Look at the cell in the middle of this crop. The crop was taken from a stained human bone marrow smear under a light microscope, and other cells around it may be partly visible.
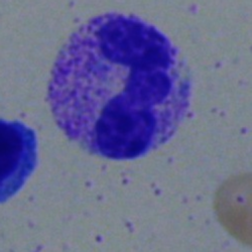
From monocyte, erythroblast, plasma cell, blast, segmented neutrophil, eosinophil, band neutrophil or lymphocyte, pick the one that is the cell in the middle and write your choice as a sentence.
What the crop centres on is a band neutrophil.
